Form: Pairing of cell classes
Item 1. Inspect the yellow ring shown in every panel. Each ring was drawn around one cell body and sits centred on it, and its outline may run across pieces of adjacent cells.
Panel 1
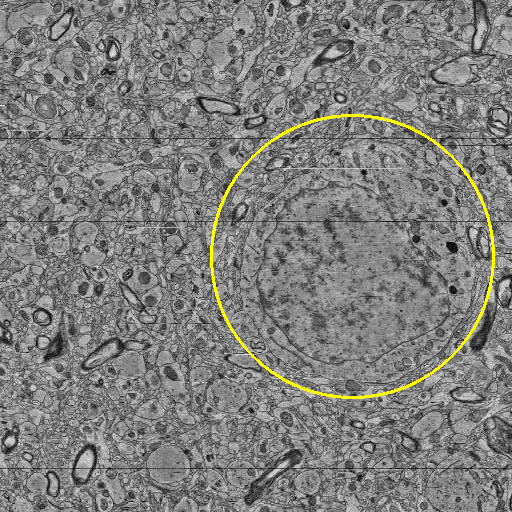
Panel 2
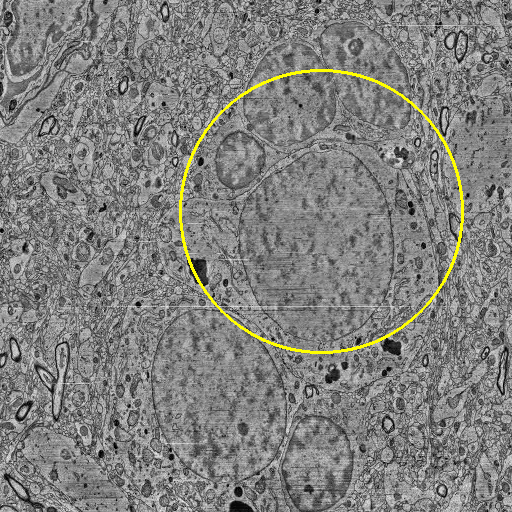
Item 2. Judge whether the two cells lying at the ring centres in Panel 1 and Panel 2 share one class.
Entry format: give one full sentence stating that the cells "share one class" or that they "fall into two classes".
The cells at the ring centres in Panel 1 and Panel 2 share one class.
